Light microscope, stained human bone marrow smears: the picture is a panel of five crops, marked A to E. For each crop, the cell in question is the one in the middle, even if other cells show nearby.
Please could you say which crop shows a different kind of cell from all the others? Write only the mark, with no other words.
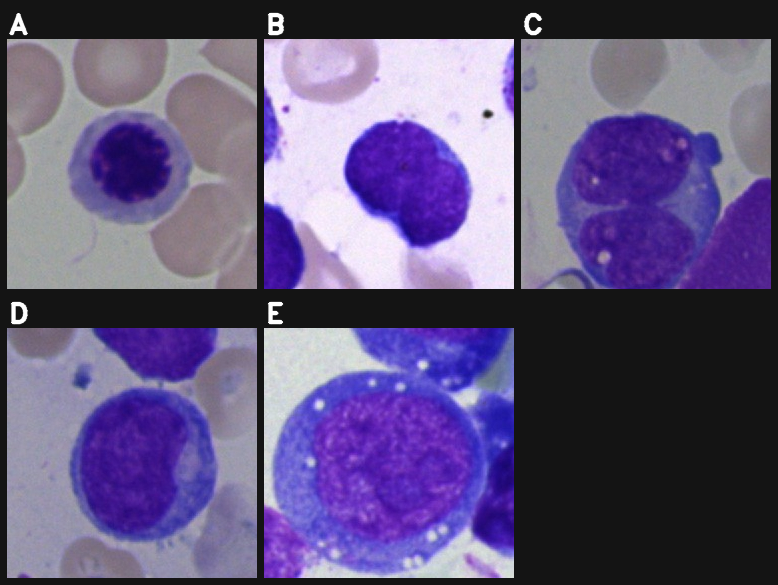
A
